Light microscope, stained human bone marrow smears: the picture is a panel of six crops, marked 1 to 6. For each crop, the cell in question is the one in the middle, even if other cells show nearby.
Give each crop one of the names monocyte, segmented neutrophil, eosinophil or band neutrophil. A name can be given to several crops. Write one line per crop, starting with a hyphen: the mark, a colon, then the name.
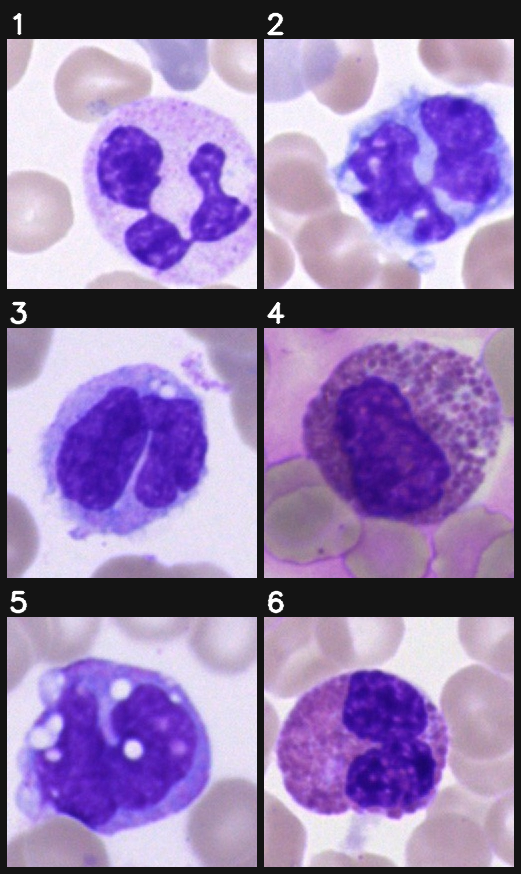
- 1: segmented neutrophil
- 2: monocyte
- 3: monocyte
- 4: eosinophil
- 5: monocyte
- 6: eosinophil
